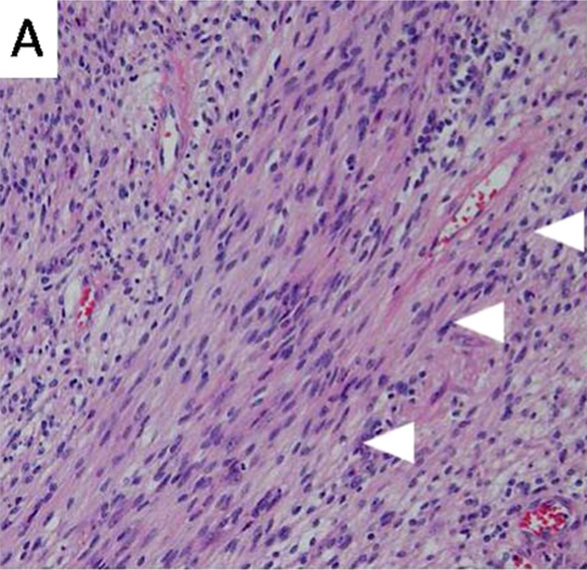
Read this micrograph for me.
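A densely cellular tumor made up mainly of spindle-shaped cells. The cells have elongated, slender to oval, dark purple nuclei, some wavy or tapering at the ends, set in pale pink fibrillar cytoplasm with indistinct cell borders. Several small, thin-walled blood vessels containing red blood cells are scattered through the tissue, some with a rim of pink collagen around them. No gland formation or distinct epithelial arrangement is seen.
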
